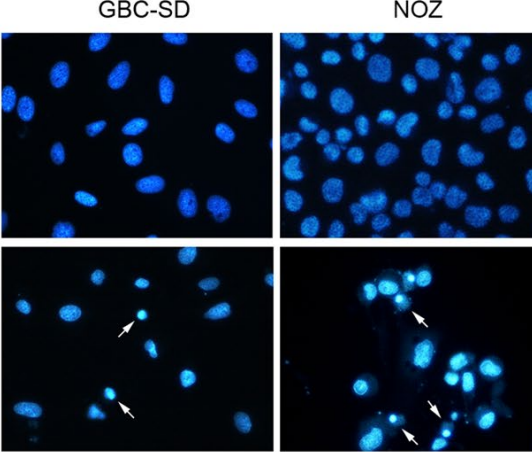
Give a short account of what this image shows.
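In the lower row the nuclei are fewer and more irregular in size. Some of them are small, round and much brighter blue, with condensed chromatin, the appearance of apoptotic cells. In the lower right image, several small, bright, rounded bodies lie among and beside the larger nuclei.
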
